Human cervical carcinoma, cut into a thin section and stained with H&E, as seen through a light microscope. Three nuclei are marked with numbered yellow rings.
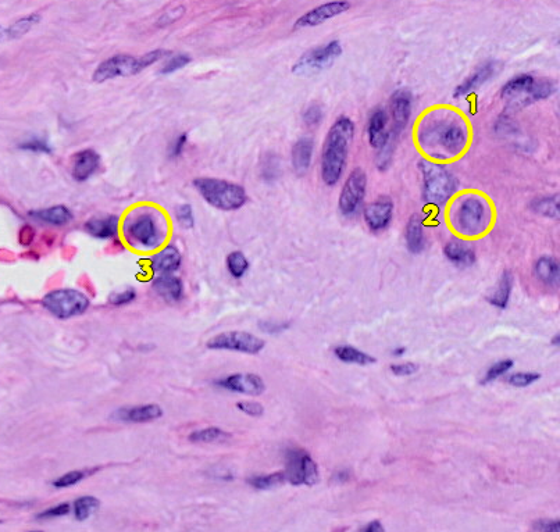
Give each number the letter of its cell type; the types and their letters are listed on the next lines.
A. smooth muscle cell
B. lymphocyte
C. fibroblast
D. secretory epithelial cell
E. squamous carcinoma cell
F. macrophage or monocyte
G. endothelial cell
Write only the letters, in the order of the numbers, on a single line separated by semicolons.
A; A; G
